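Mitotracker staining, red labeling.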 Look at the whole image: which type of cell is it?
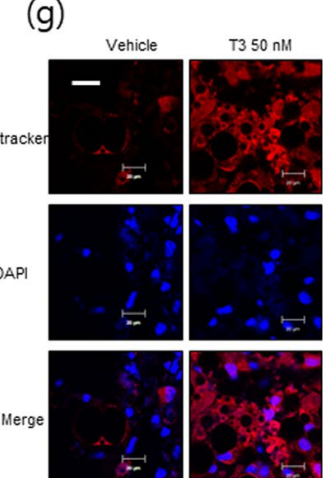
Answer: adipocytes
